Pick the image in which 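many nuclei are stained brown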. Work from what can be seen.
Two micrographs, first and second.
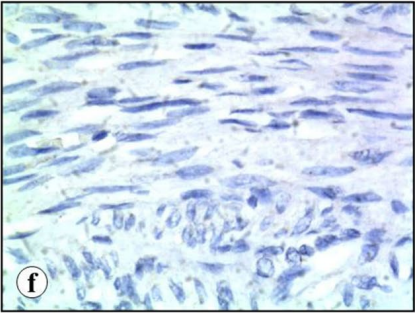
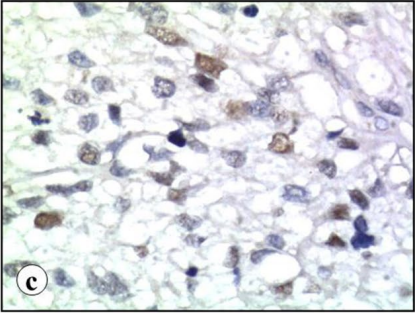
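First image: elongated nuclei are all blue, no brown colour. Second image: numerous round nuclei are brown, others blue. That points to this answer: the second image.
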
